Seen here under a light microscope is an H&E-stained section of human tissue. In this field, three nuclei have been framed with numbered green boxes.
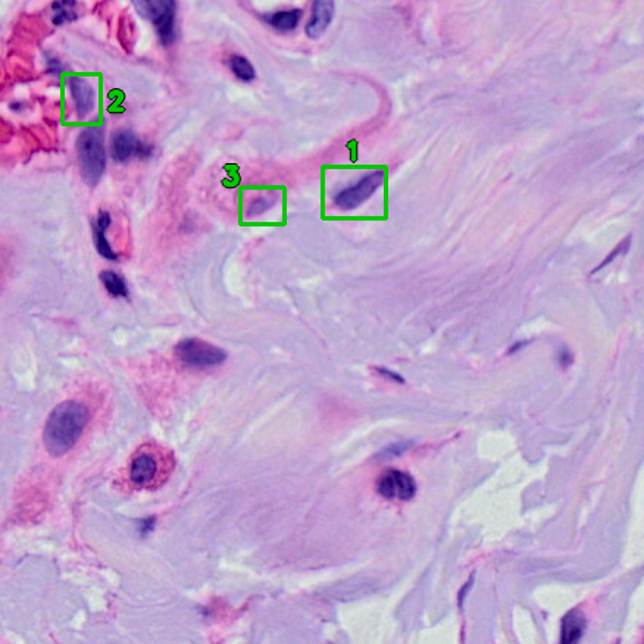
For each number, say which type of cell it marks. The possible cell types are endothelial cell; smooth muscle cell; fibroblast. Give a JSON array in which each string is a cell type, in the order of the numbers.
["fibroblast", "endothelial cell", "smooth muscle cell"]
